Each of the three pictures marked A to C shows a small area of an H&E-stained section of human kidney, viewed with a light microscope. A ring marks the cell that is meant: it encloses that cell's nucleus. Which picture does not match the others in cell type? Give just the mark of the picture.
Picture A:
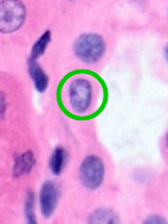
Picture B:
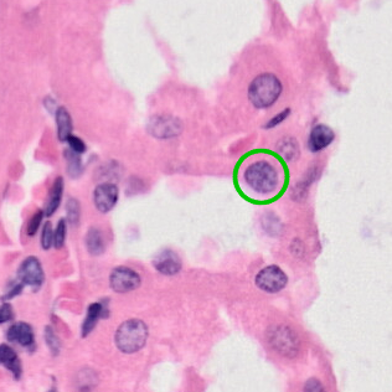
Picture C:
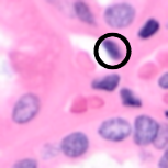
C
